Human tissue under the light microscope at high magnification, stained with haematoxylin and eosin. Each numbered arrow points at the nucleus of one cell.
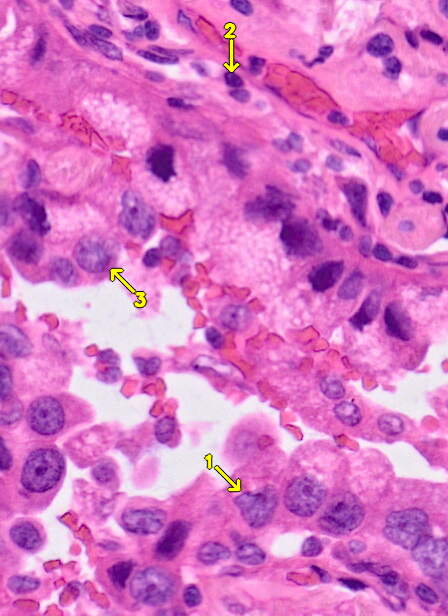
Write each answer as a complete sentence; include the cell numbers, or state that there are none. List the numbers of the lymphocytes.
Cell 2 is a lymphocyte; every other numbered cell is something else.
